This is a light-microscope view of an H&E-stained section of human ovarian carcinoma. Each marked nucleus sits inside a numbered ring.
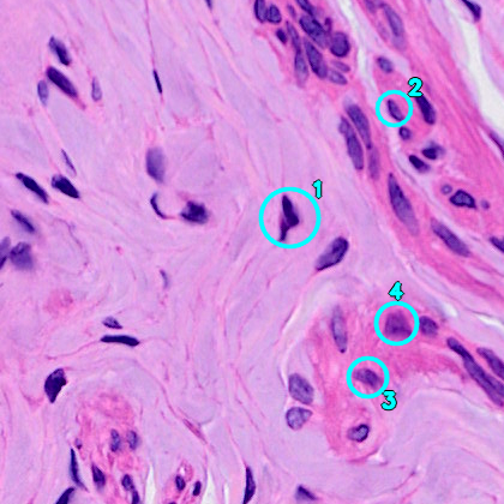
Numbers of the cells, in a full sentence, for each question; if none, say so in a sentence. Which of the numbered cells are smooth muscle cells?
Within this tissue, the cells numbered 2, 3 and 4 are smooth muscle cells.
